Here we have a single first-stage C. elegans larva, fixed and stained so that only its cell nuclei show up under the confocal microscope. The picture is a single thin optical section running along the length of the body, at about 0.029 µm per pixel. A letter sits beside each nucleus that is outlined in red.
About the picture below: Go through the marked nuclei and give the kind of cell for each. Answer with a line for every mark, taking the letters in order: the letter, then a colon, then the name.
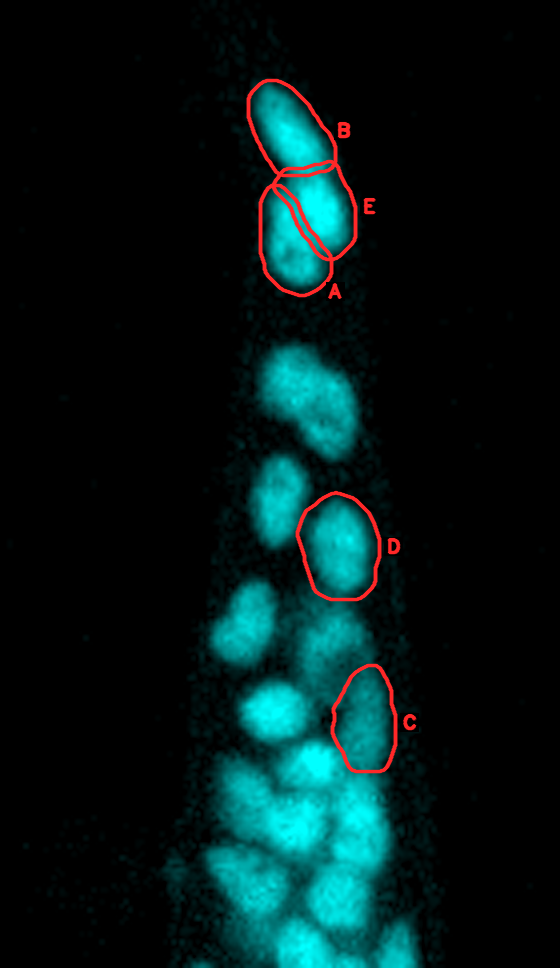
A: hypodermal cell (hyp)
B: hypodermal cell (hyp)
C: body wall muscle cell
D: neuron
E: hypodermal cell (hyp)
